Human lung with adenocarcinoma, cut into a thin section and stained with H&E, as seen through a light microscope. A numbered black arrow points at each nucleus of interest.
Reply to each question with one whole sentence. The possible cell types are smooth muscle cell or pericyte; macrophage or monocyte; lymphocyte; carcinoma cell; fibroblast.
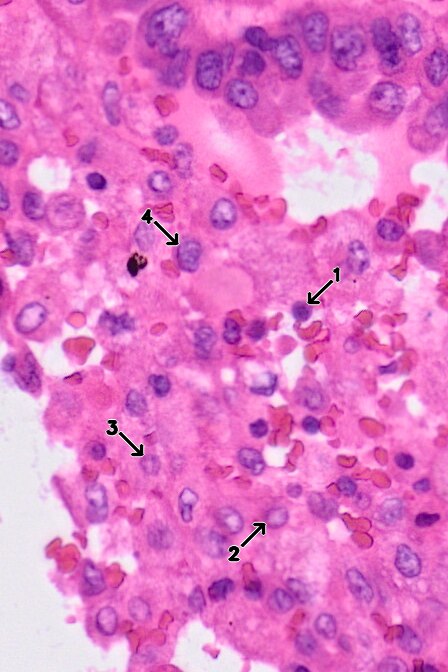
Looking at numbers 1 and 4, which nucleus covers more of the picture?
Nucleus 4 is the larger one, covering about 2 times the area of nucleus 1.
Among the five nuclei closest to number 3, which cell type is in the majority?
The majority of the five nuclei closest to number 3 belong to macrophages or monocytes.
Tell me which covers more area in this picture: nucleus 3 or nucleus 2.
Nucleus 2 is larger, with an area about 2 times that of nucleus 3.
